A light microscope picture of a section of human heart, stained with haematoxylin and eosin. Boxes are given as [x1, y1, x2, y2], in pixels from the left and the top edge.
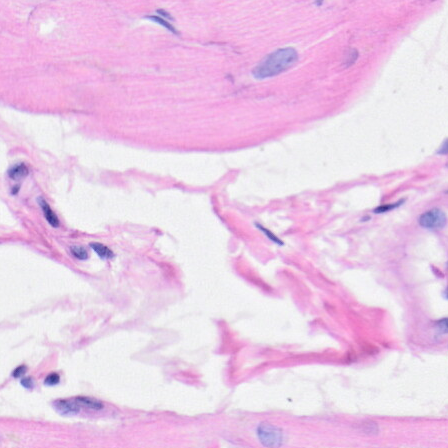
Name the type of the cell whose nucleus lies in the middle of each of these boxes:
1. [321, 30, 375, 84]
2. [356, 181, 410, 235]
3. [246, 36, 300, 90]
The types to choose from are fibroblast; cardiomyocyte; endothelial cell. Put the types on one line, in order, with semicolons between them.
cardiomyocyte; fibroblast; cardiomyocyte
